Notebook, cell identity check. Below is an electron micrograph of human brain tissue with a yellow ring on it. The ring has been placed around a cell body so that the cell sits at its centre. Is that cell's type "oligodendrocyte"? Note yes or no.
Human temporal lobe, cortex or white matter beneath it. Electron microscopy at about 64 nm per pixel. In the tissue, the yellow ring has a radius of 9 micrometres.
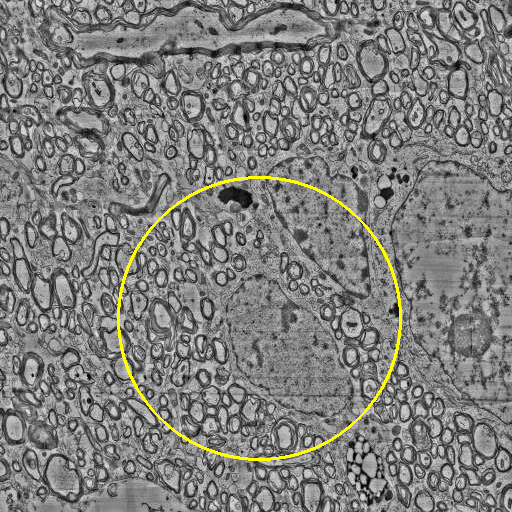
No, its cell type is another one.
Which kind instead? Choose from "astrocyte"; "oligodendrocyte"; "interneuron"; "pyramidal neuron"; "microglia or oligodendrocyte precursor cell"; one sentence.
That cell in the ring is an astrocyte instead.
